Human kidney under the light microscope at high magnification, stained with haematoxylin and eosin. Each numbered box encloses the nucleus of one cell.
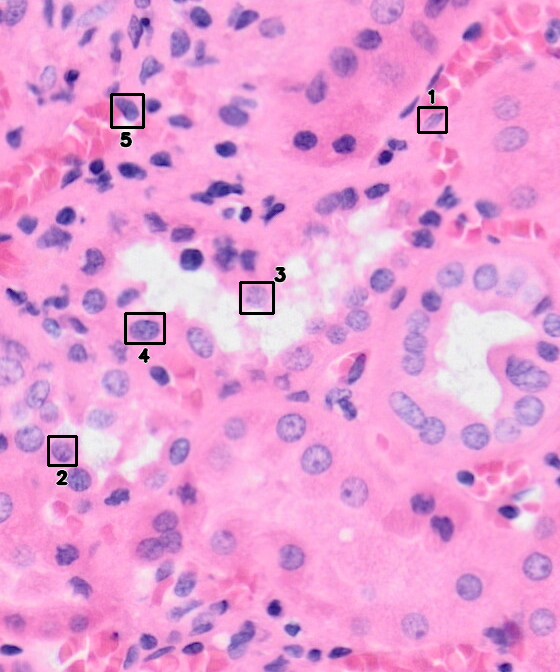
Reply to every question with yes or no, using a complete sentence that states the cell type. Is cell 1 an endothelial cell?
Yes, the cell pointed out as number 1 is an endothelial cell.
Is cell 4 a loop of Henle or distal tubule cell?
Yes, that is so; number 4 marks a loop of Henle or distal tubule cell.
